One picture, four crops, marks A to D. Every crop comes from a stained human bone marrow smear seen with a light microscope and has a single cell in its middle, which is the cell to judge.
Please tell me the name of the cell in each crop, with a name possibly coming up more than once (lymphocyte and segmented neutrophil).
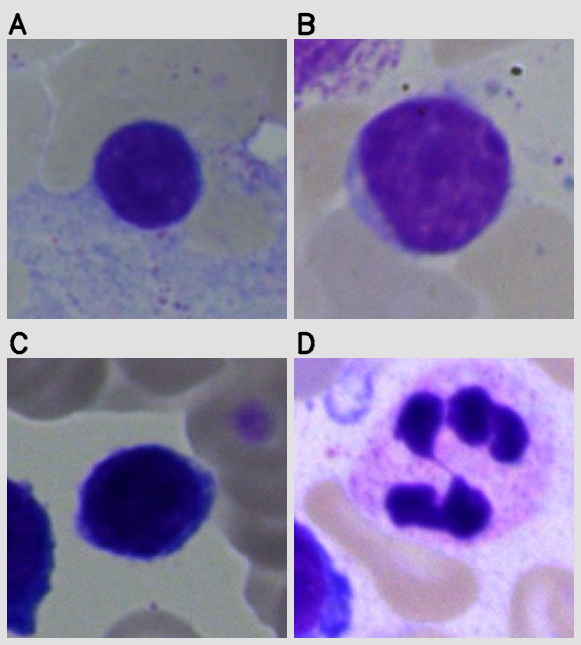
A: lymphocyte
B: lymphocyte
C: lymphocyte
D: segmented neutrophil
